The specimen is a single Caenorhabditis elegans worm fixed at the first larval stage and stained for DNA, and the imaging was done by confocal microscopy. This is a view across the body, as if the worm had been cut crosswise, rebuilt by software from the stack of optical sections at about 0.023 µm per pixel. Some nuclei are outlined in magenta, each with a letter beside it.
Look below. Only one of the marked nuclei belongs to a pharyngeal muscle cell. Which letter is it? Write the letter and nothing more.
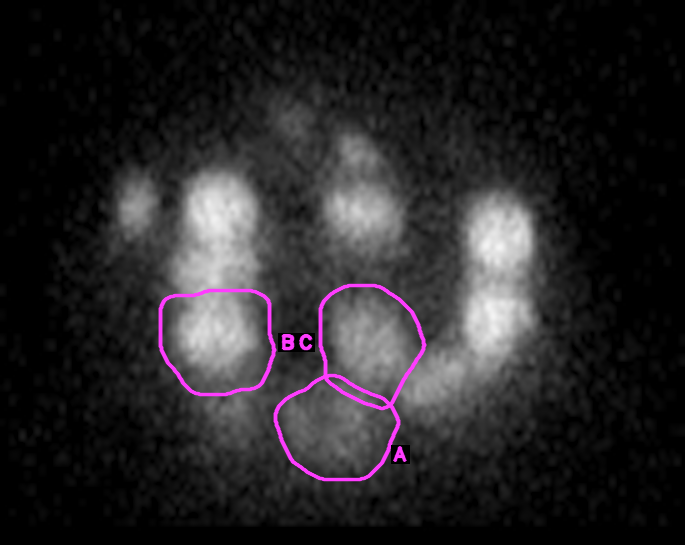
C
